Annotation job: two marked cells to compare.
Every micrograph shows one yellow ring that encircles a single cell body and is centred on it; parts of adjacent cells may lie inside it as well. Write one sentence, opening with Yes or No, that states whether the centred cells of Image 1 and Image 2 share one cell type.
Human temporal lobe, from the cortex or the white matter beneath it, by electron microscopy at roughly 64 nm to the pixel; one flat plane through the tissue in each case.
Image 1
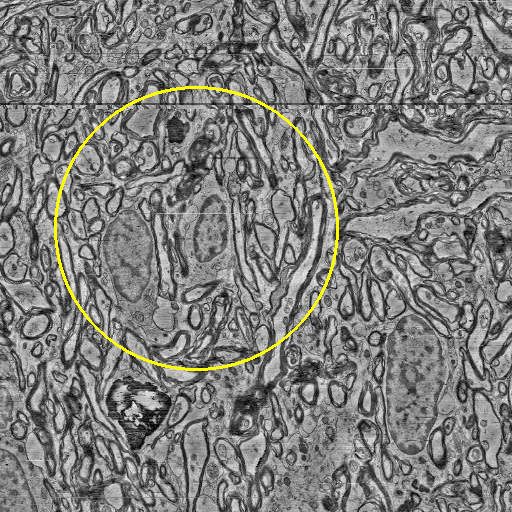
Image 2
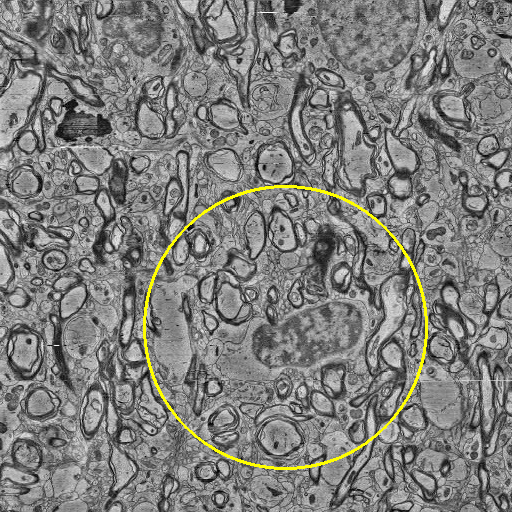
Yes, the cell centred in Image 1 shares its type with the cell centred in Image 2.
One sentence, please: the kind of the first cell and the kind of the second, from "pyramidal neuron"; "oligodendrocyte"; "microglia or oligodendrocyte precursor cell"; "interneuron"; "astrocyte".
The first and the second cell are each a microglial cell or oligodendrocyte precursor cell.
